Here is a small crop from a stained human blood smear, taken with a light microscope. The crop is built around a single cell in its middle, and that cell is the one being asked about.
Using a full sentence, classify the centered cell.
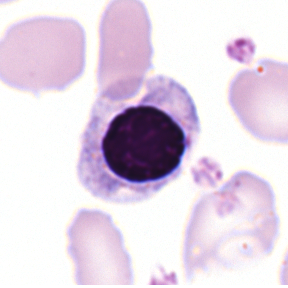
Seen at the centre of the crop is a normoblast.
